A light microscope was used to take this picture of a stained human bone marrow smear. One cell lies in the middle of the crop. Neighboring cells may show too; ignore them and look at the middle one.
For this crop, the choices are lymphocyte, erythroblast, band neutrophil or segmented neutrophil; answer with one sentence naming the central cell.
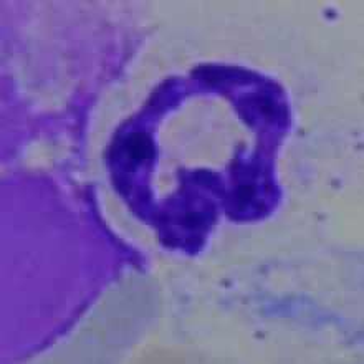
The central cell in this smear crop is a segmented neutrophil.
